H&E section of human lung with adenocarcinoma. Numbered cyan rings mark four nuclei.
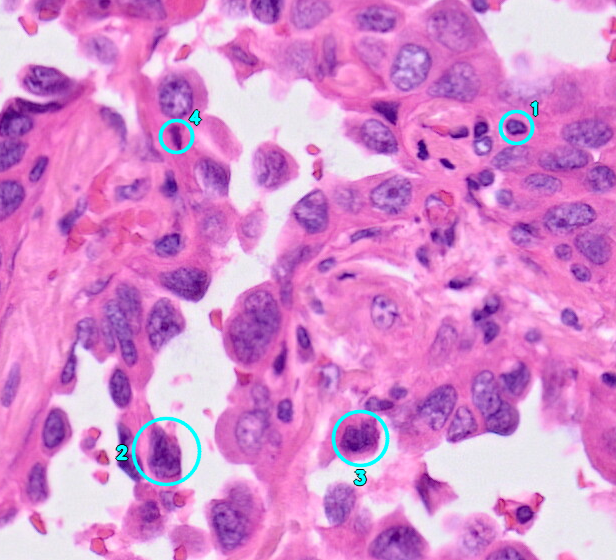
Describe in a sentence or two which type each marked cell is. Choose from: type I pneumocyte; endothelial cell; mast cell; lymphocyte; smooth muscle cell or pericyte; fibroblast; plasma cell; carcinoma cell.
Cell 1 is a lymphocyte, cell 2 is a carcinoma cell, cell 3 is a carcinoma cell and cell 4 is a carcinoma cell.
